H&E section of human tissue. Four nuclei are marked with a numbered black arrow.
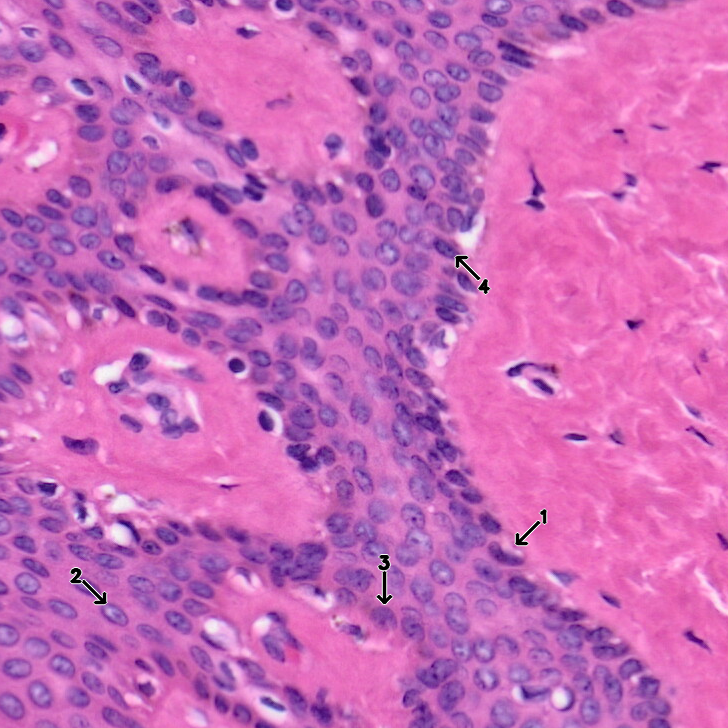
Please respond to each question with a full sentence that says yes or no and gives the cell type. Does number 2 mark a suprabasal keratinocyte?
Yes, cell number 2 is classified as a suprabasal keratinocyte.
